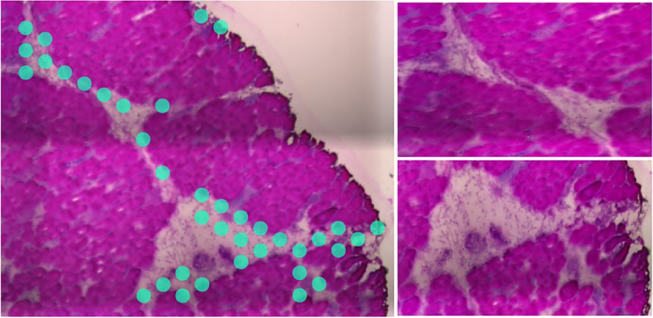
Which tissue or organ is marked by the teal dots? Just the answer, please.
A: Perimysial connective tissue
